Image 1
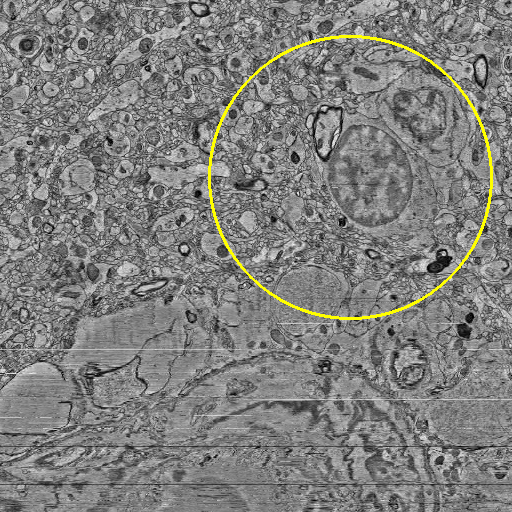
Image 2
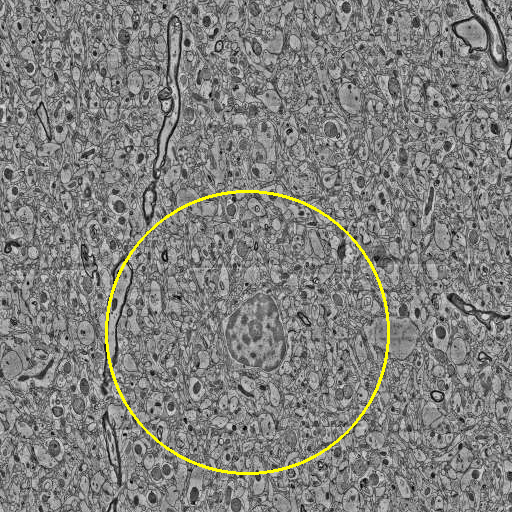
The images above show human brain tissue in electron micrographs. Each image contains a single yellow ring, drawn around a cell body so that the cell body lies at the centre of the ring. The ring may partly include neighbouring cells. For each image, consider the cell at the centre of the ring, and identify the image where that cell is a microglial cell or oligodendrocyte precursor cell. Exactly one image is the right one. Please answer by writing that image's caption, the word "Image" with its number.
Image 2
